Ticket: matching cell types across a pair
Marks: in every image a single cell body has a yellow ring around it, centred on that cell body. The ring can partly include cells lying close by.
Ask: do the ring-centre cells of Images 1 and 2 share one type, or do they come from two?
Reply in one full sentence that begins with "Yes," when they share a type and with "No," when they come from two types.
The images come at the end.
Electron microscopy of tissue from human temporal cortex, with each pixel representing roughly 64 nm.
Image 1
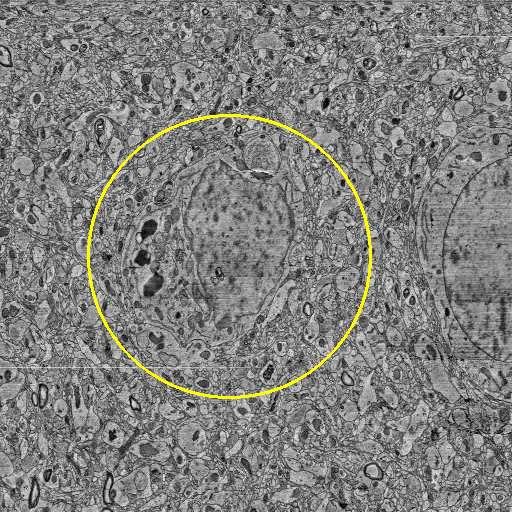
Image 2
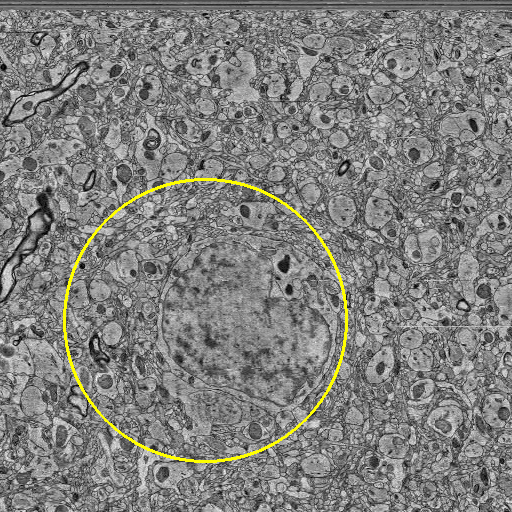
Yes, the cells in the centres of the rings in Image 1 and Image 2 share one type.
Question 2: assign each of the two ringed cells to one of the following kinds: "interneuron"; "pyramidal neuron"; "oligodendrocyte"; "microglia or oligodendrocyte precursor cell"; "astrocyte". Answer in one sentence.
The second cell is an interneuron, just as the first is.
